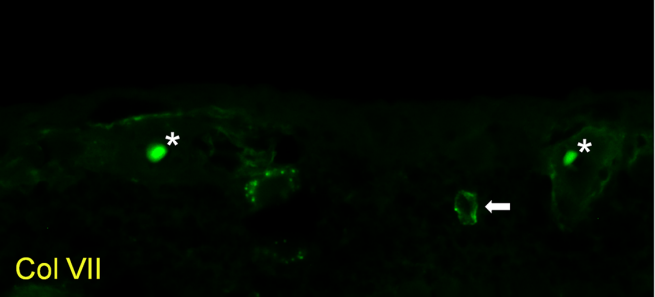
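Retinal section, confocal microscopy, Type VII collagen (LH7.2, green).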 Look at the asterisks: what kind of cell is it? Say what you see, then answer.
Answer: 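Erythrocytes. Each asterisk sits beside a small, bright, compact oval green body. The bodies lie inside faintly outlined rounded spaces.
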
